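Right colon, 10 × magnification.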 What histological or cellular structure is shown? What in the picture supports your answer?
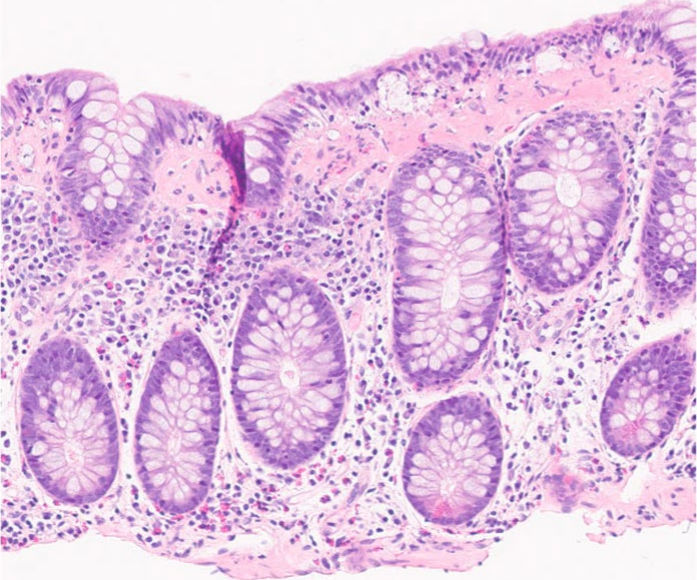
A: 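A thick, pale pink band runs under the surface epithelium across the top of the section. The band separates the surface epithelium from the underlying crypts and lamina propria.
Conclusion: thick subepithelial collagen band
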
